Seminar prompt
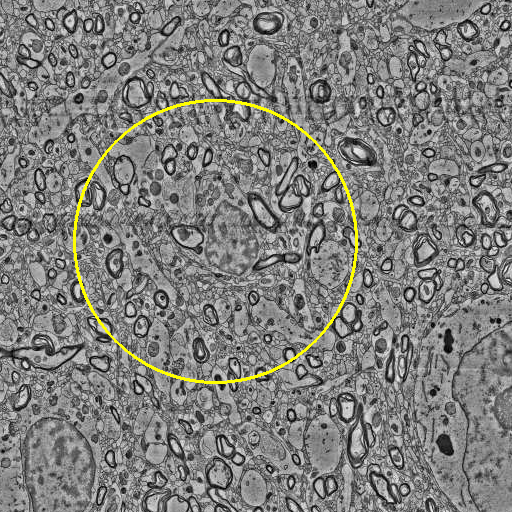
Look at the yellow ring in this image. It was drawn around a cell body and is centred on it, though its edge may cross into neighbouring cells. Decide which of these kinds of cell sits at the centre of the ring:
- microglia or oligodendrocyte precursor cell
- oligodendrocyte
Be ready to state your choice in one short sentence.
The kind of cell at the ring's centre is an oligodendrocyte.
